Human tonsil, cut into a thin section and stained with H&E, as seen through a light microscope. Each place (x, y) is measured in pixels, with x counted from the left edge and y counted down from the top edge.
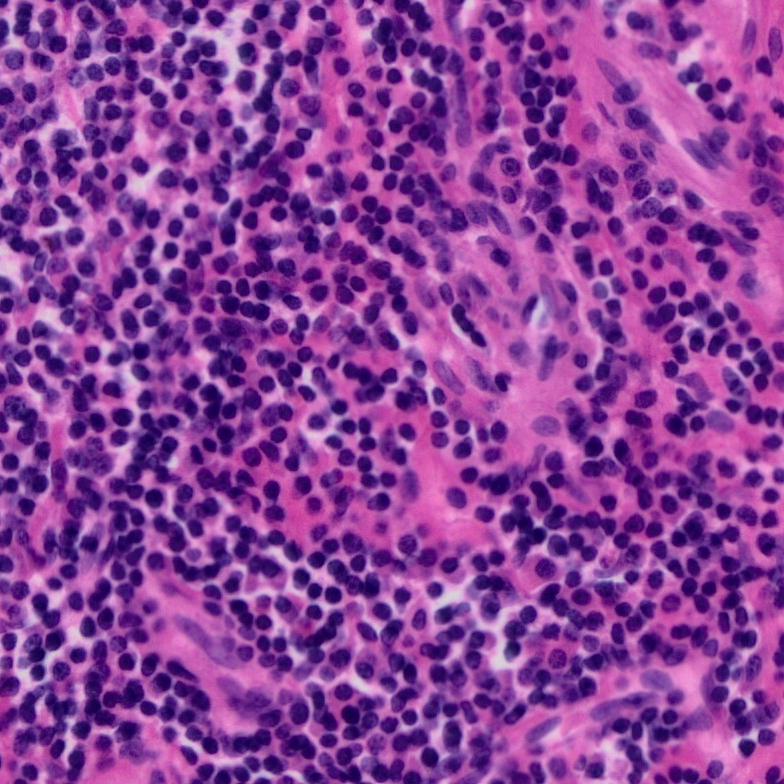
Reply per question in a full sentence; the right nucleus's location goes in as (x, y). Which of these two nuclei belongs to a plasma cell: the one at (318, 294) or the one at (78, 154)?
Here the nucleus at (318, 294) is the one that belongs to a plasma cell.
